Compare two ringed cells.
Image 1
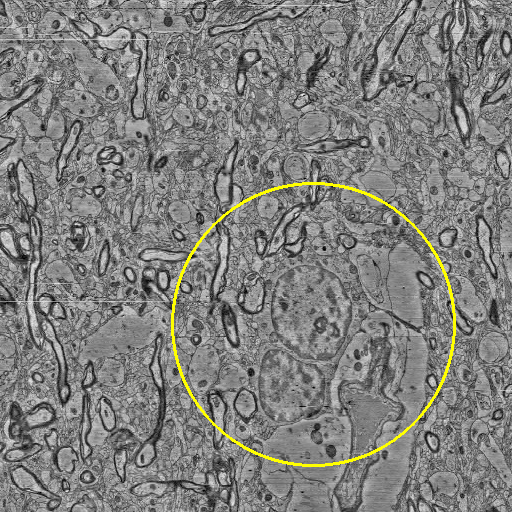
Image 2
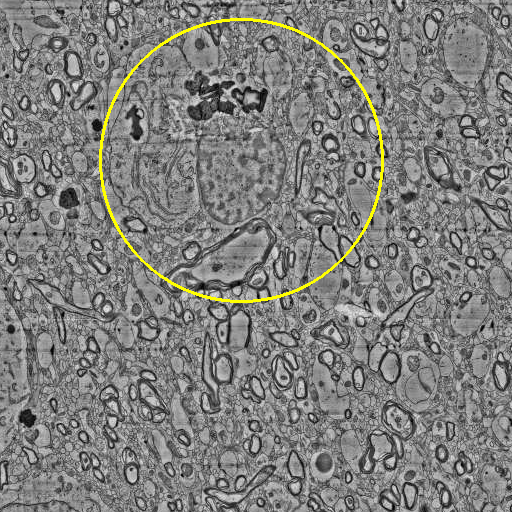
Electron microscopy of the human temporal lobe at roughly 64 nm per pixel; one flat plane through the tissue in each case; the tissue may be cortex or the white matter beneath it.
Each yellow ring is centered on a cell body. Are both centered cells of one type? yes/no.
yes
